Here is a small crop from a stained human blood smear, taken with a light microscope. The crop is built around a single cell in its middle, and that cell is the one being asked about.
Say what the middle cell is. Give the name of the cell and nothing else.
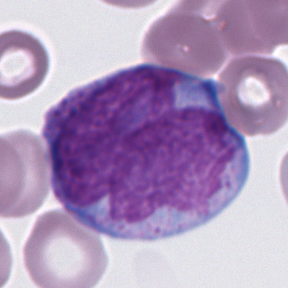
atypical promyelocyte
